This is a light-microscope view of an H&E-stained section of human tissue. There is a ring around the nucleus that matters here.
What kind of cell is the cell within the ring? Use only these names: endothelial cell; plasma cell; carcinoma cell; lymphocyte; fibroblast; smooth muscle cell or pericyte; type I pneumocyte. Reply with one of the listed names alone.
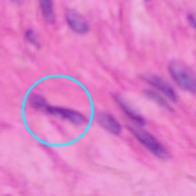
smooth muscle cell or pericyte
